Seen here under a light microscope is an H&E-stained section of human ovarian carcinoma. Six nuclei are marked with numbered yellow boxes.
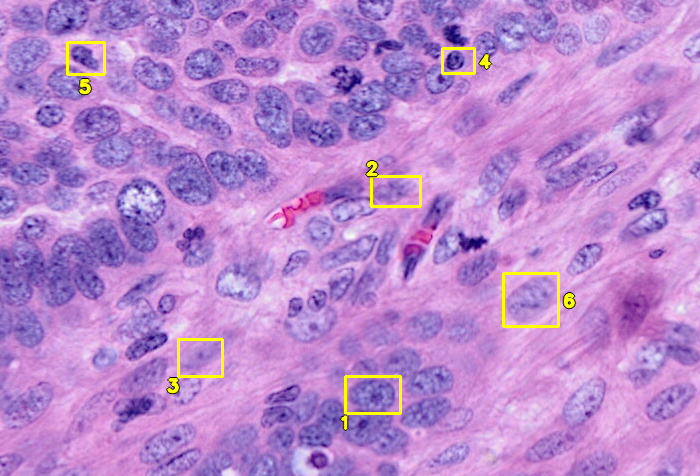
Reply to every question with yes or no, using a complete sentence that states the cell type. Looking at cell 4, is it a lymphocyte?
Yes, in this tissue section, number 4 is a lymphocyte.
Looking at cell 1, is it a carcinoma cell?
Yes, the numbered nucleus 1 is that of a carcinoma cell.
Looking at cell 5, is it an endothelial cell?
No, an endothelial cell is not what cell 5 is; it is a macrophage or monocyte.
